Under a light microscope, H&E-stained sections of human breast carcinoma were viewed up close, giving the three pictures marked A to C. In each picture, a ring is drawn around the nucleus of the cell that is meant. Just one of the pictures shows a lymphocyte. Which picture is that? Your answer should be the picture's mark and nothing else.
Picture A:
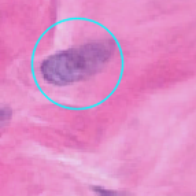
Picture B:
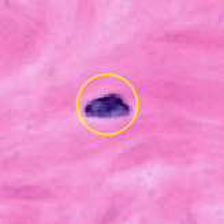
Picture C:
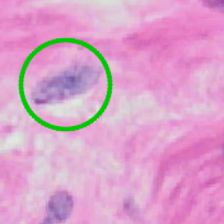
B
